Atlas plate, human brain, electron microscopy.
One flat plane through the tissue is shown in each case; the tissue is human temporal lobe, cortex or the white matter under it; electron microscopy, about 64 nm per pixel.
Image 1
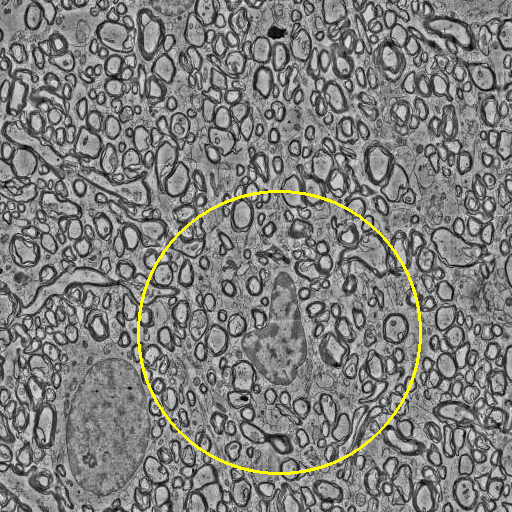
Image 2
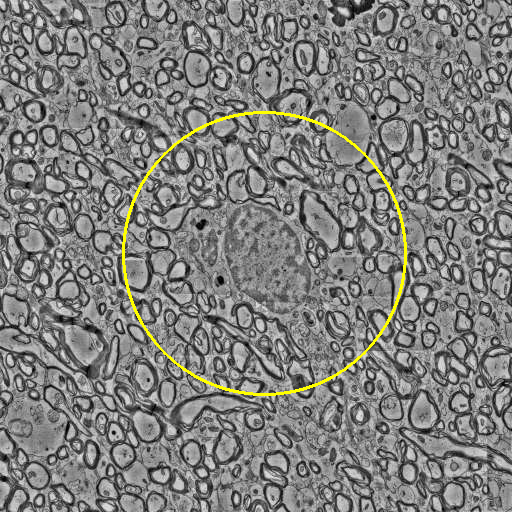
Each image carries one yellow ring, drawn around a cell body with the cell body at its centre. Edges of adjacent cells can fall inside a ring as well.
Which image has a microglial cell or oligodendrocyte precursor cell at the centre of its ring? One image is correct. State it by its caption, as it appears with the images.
Image 1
